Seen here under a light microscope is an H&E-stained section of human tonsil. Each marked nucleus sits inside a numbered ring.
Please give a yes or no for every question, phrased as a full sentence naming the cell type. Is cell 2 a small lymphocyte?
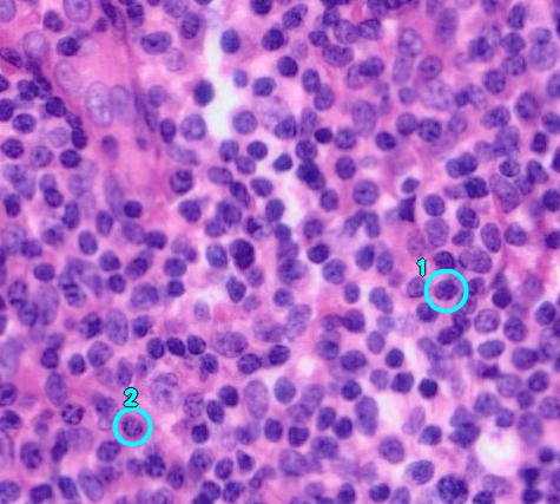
No, the cell given number 2 is a plasma cell, as opposed to a small lymphocyte.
